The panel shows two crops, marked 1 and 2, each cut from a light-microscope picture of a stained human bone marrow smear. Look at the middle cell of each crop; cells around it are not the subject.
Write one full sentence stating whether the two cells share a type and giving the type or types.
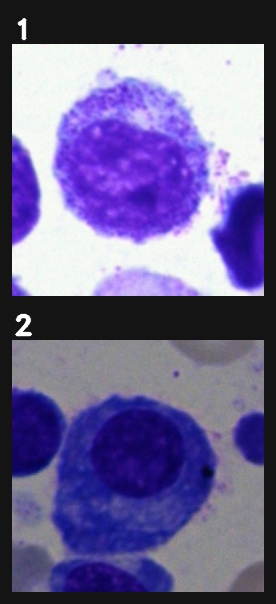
No, crop 1 shows a myelocyte, whereas a plasma cell is what crop 2 shows.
